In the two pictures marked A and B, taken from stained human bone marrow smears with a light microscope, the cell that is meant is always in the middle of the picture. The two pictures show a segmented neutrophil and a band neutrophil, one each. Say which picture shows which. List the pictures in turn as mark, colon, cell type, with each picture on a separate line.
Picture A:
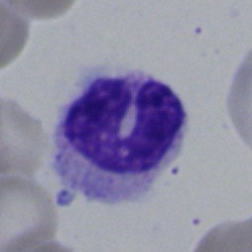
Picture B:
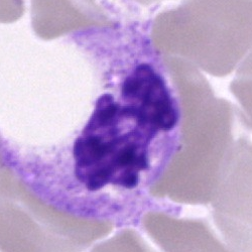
A: band neutrophil
B: segmented neutrophil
